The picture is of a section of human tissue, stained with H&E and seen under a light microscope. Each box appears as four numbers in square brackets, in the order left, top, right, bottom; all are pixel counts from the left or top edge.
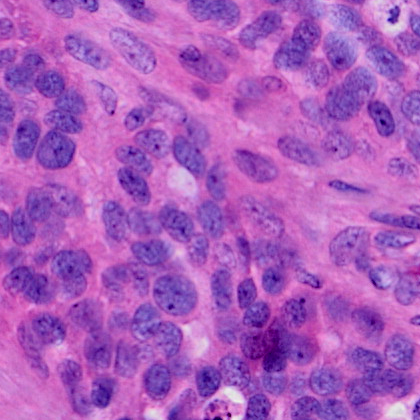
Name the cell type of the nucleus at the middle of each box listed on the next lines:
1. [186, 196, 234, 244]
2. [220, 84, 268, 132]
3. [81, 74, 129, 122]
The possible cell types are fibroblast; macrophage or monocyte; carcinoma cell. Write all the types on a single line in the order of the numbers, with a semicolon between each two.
carcinoma cell; fibroblast; fibroblast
